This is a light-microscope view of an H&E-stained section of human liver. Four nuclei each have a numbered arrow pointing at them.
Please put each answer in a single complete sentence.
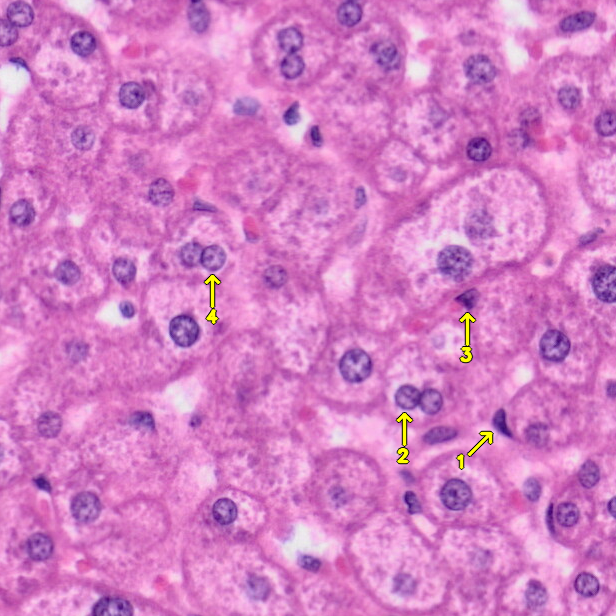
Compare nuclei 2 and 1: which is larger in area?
Nucleus 2 is larger, with an area about 2 times that of nucleus 1.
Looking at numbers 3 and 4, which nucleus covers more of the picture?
Of the two, number 4 is bigger and takes up about 1.5 times the area of number 3.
